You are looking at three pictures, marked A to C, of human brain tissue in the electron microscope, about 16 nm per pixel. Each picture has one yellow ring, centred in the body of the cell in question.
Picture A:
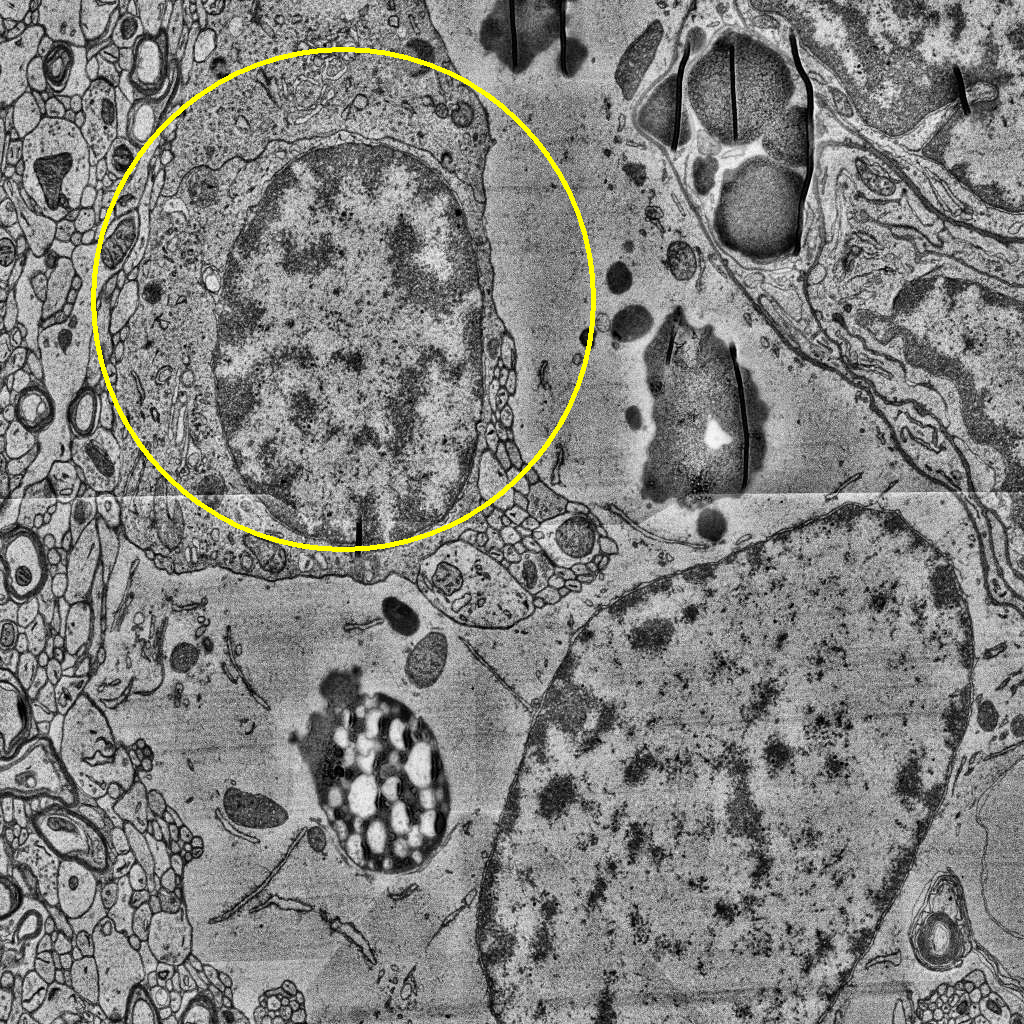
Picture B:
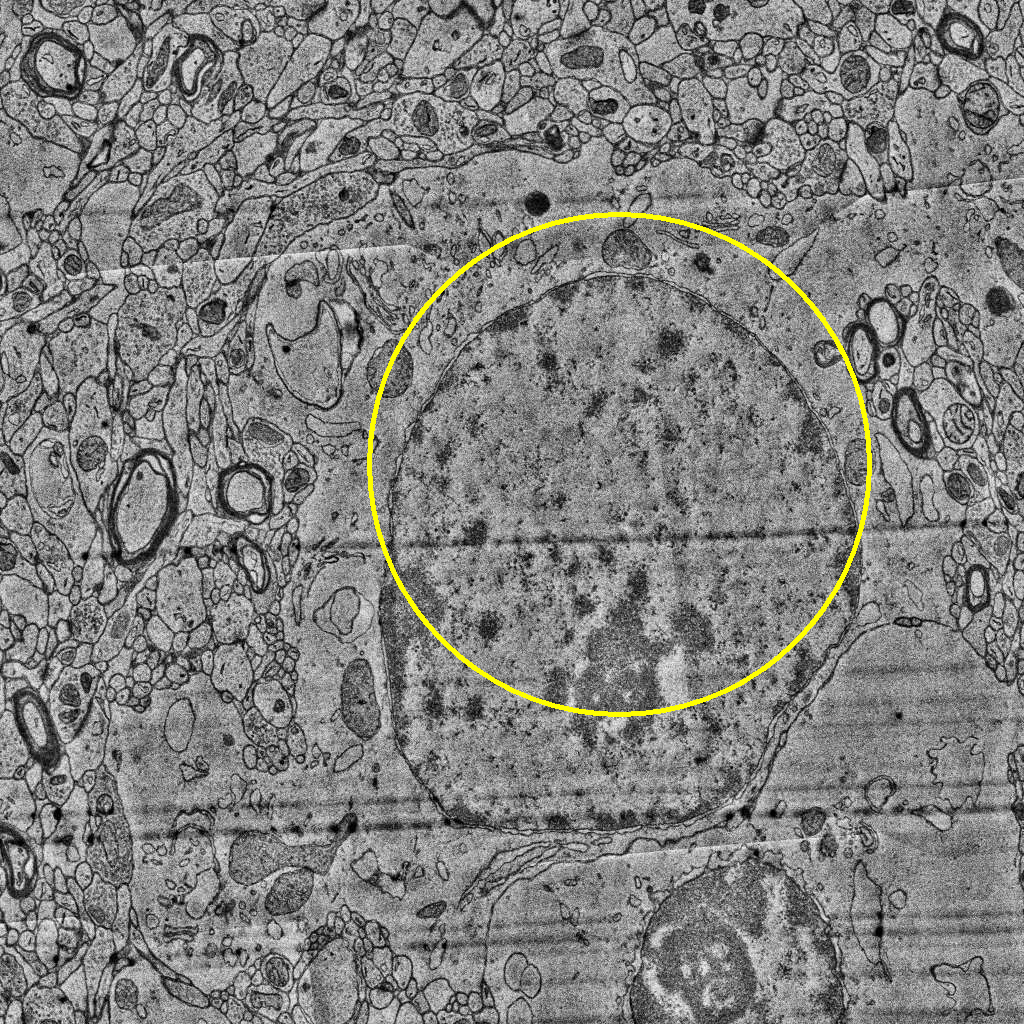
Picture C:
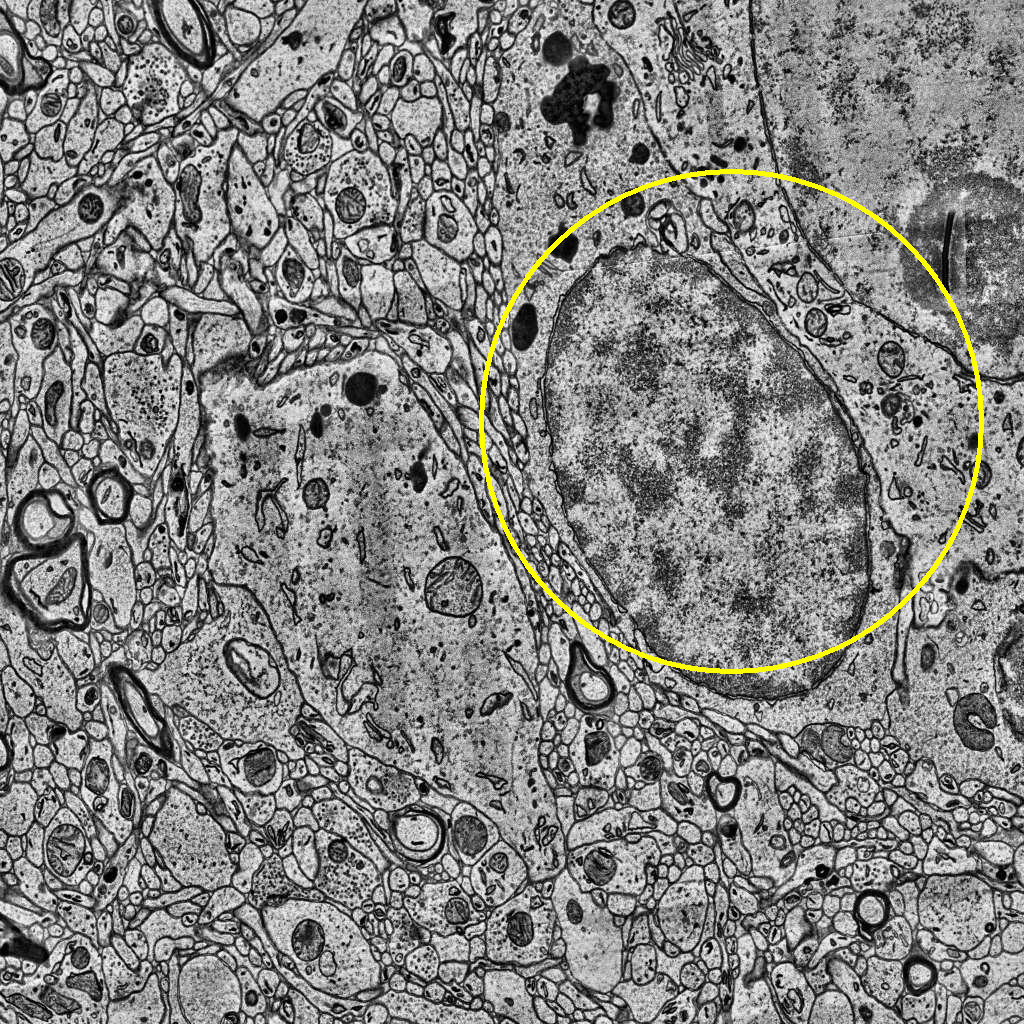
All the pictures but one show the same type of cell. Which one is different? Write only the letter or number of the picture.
B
